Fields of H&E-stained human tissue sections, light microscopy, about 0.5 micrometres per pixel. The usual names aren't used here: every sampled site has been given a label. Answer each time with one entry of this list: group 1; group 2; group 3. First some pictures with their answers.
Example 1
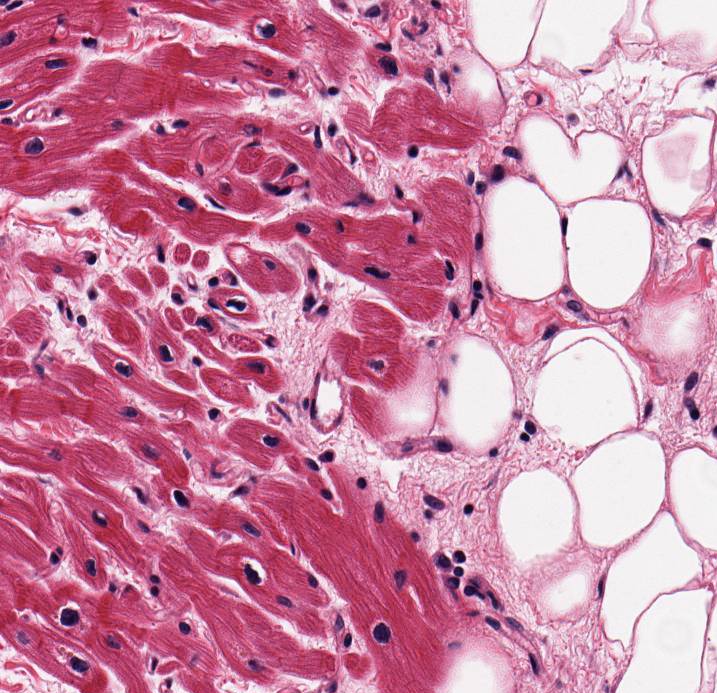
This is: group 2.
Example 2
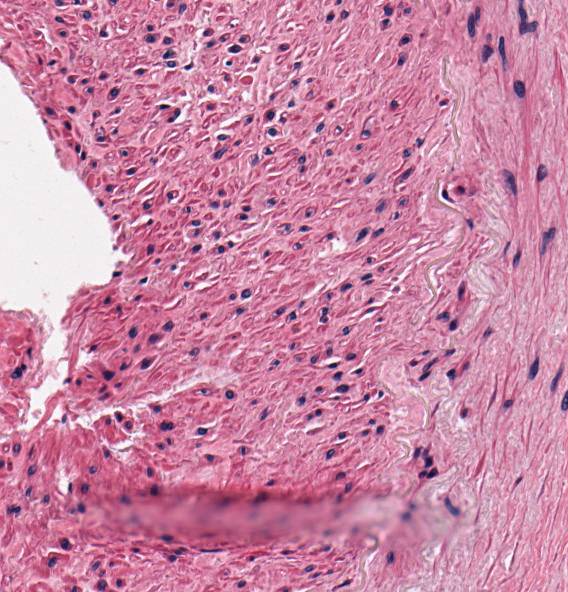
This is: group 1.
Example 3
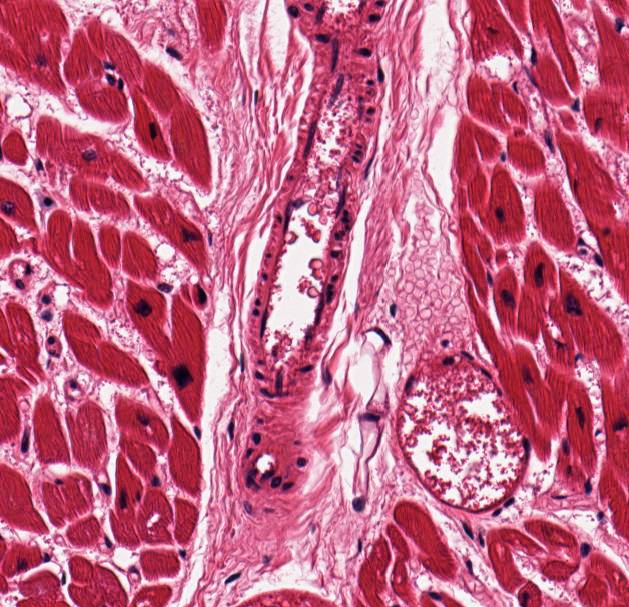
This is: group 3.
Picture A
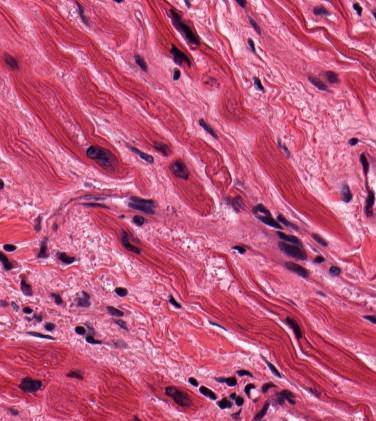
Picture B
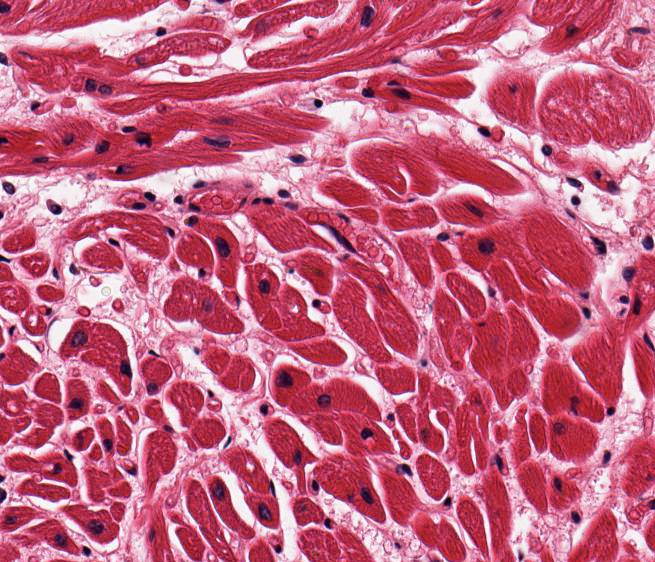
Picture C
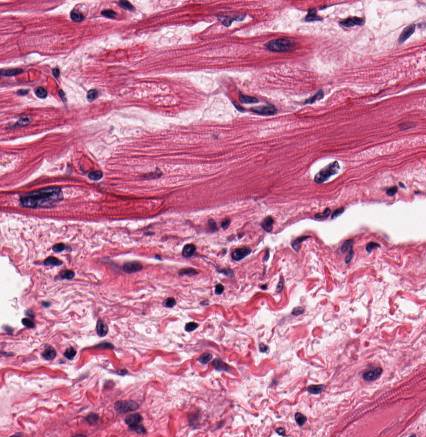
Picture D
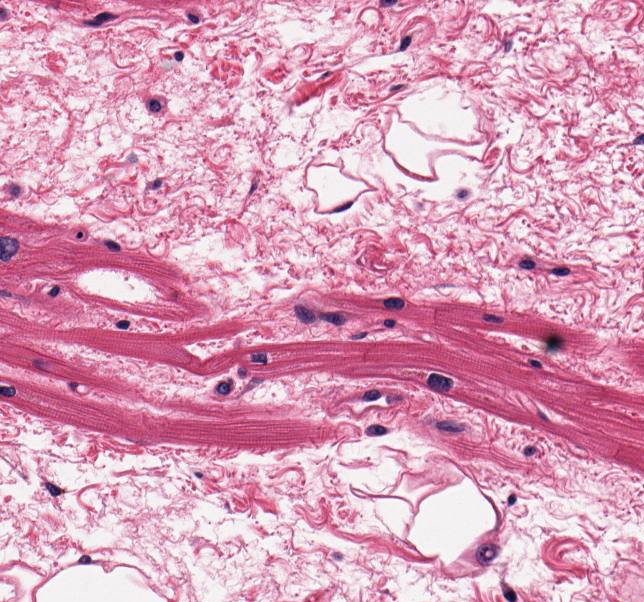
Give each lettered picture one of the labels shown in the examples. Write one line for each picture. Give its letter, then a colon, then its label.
A: group 2.
B: group 3.
C: group 2.
D: group 2.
